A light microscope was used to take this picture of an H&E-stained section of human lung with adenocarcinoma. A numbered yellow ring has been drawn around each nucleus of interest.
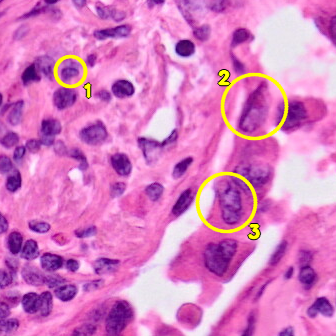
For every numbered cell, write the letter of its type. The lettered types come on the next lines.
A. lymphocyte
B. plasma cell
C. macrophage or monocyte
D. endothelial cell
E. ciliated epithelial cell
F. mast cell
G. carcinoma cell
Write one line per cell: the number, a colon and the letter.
1: A
2: G
3: G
